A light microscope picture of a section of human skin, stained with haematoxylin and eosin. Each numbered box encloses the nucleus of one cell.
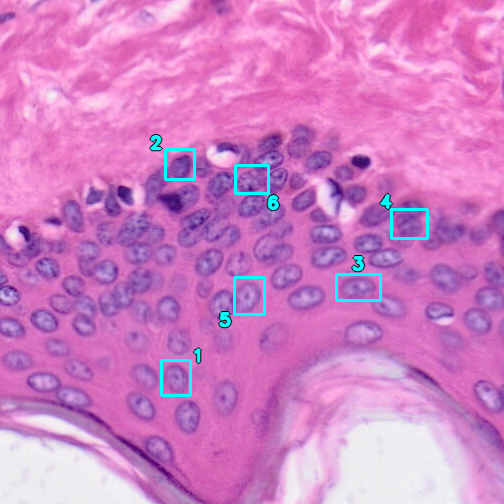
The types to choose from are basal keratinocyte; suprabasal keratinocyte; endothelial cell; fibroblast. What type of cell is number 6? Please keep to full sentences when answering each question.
Here the cell numbered 6 is a basal keratinocyte.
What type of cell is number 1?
In this section, the cell numbered 1 is a suprabasal keratinocyte.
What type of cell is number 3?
The cell carrying label 3 is identified as a suprabasal keratinocyte.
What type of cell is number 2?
Cell 2, among those numbered, is a basal keratinocyte.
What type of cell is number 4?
Within this field of view, the cell labelled 4 is a basal keratinocyte.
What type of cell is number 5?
The cell marked with number 5 is a suprabasal keratinocyte.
